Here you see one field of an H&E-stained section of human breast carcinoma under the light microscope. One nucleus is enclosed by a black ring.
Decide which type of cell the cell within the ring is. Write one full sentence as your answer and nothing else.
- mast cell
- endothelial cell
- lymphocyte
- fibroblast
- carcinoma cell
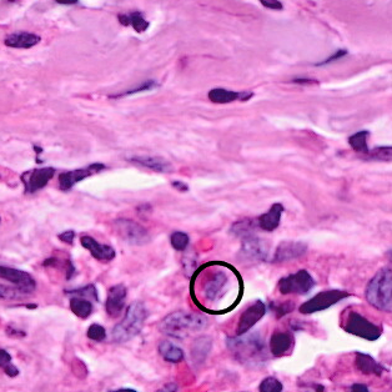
The cell type of the cell within the ring is that of an endothelial cell.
